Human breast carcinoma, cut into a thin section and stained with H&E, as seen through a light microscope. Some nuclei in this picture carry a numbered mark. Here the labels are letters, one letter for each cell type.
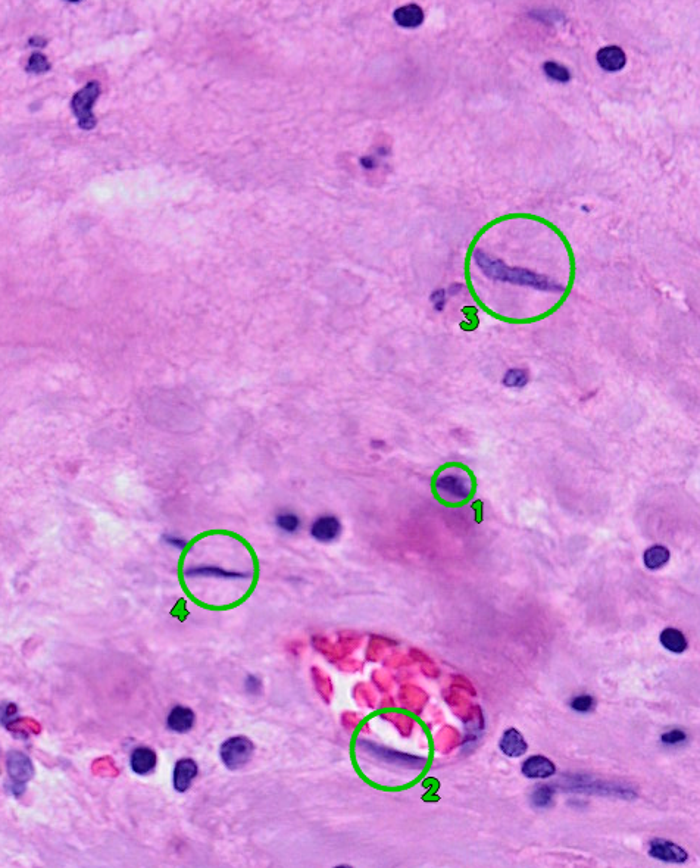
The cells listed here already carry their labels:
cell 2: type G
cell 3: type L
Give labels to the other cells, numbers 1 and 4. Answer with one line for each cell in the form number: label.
1: type L
4: type L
